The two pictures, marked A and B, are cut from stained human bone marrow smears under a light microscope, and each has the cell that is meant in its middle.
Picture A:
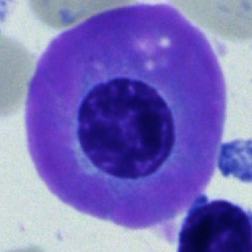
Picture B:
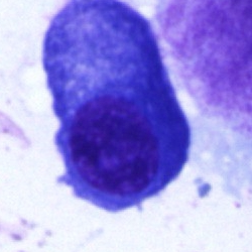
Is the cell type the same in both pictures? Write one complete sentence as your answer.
Yes, both are plasma cells.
